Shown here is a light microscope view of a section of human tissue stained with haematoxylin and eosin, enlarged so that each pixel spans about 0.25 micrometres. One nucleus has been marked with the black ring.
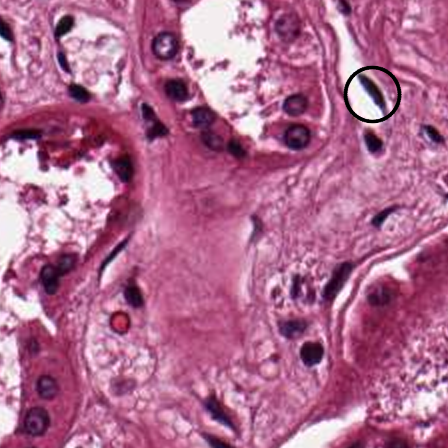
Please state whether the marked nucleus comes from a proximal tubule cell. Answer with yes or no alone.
no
